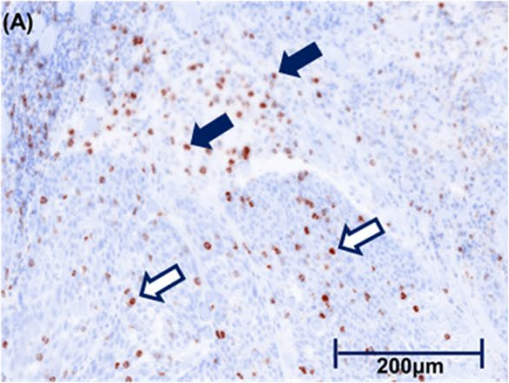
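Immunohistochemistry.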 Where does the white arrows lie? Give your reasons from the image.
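The white arrows point to small brown-stained nuclei lying within the tumor cell nests. The surrounding cells are larger, pale blue, and packed in solid sheets.
Conclusion: tumoral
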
